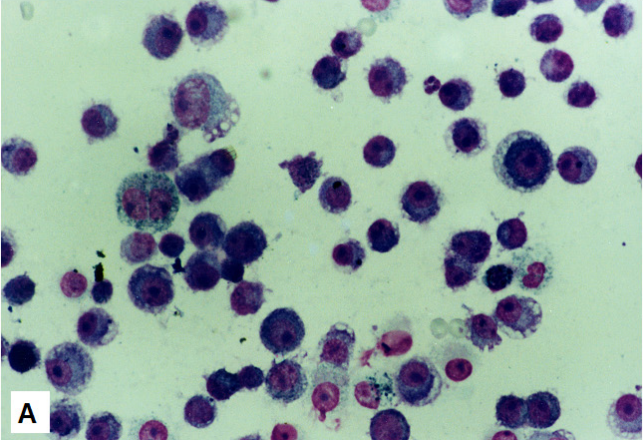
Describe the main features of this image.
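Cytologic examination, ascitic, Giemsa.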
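Scattered single rounded cells lie free on a pale background, stained purple and blue, many of them large with big, dark nuclei, visible nucleoli and a rim of grey-blue, partly vacuolated cytoplasm. The cells vary markedly in size and nuclear shape, and at least one large cell holds two nuclei side by side. Smaller dark round cells and a few pink-red cells lie among them. The picture is that of malignant cells shed into the fluid, mixed with smaller background cells.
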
